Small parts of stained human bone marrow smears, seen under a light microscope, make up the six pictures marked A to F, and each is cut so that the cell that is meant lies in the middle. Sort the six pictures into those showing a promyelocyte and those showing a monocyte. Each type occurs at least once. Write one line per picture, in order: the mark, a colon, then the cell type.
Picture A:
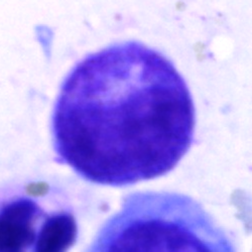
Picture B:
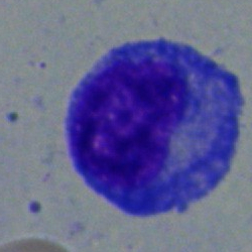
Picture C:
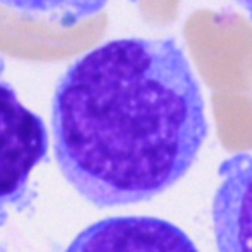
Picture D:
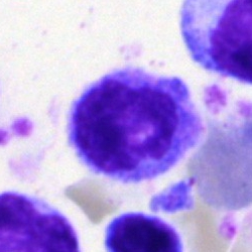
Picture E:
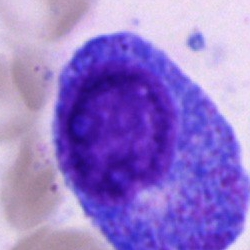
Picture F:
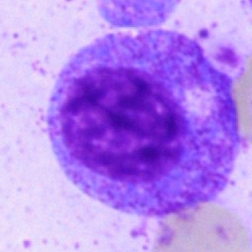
A: promyelocyte
B: promyelocyte
C: monocyte
D: monocyte
E: promyelocyte
F: promyelocyte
